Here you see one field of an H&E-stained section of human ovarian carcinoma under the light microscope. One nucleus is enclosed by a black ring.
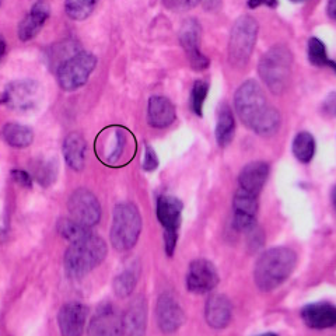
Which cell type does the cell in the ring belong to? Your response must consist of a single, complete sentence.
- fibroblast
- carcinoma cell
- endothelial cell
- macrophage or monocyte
In this section of tissue, the cell in the ring is an endothelial cell.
